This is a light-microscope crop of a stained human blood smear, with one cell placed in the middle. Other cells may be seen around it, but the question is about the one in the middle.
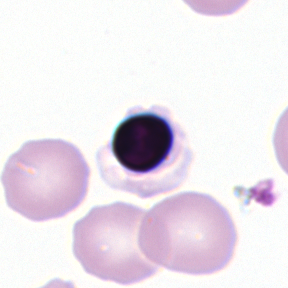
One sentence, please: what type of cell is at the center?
The crop's centre is taken up by a normoblast.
